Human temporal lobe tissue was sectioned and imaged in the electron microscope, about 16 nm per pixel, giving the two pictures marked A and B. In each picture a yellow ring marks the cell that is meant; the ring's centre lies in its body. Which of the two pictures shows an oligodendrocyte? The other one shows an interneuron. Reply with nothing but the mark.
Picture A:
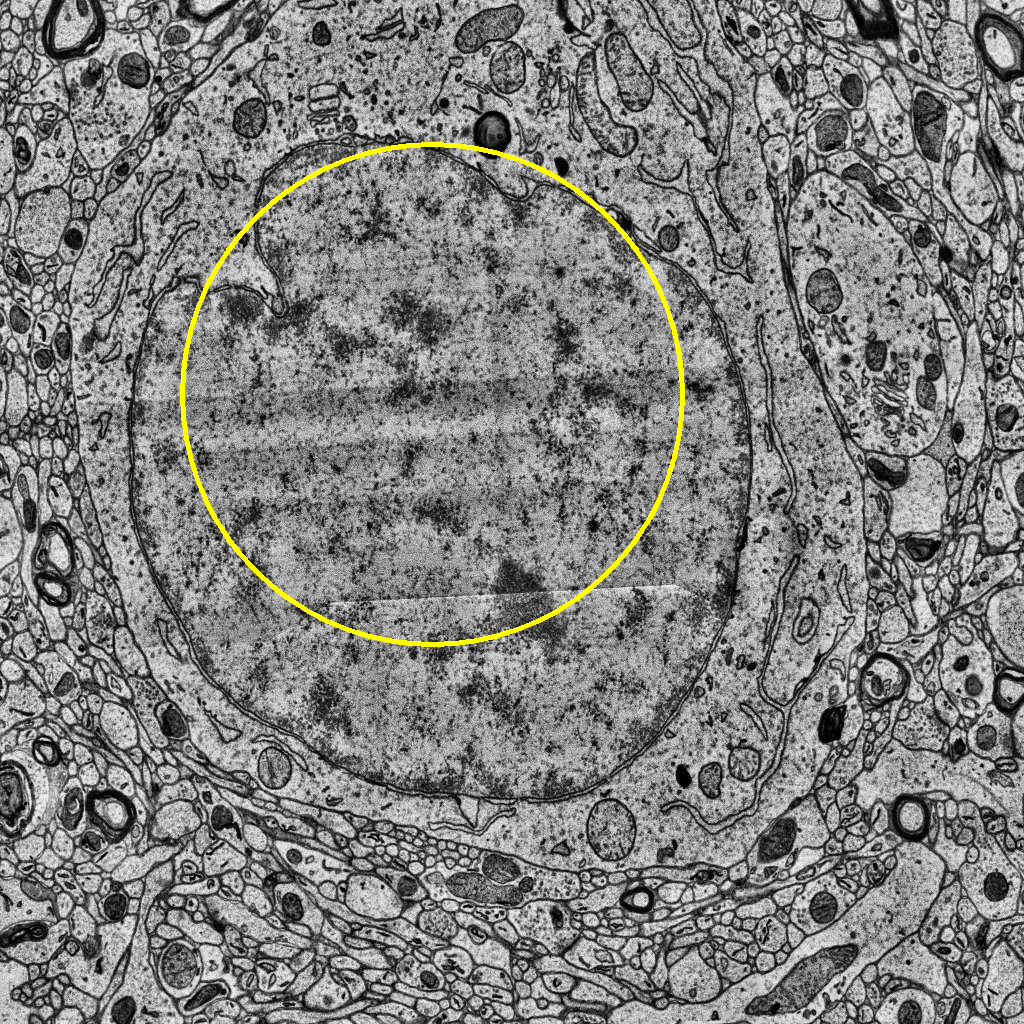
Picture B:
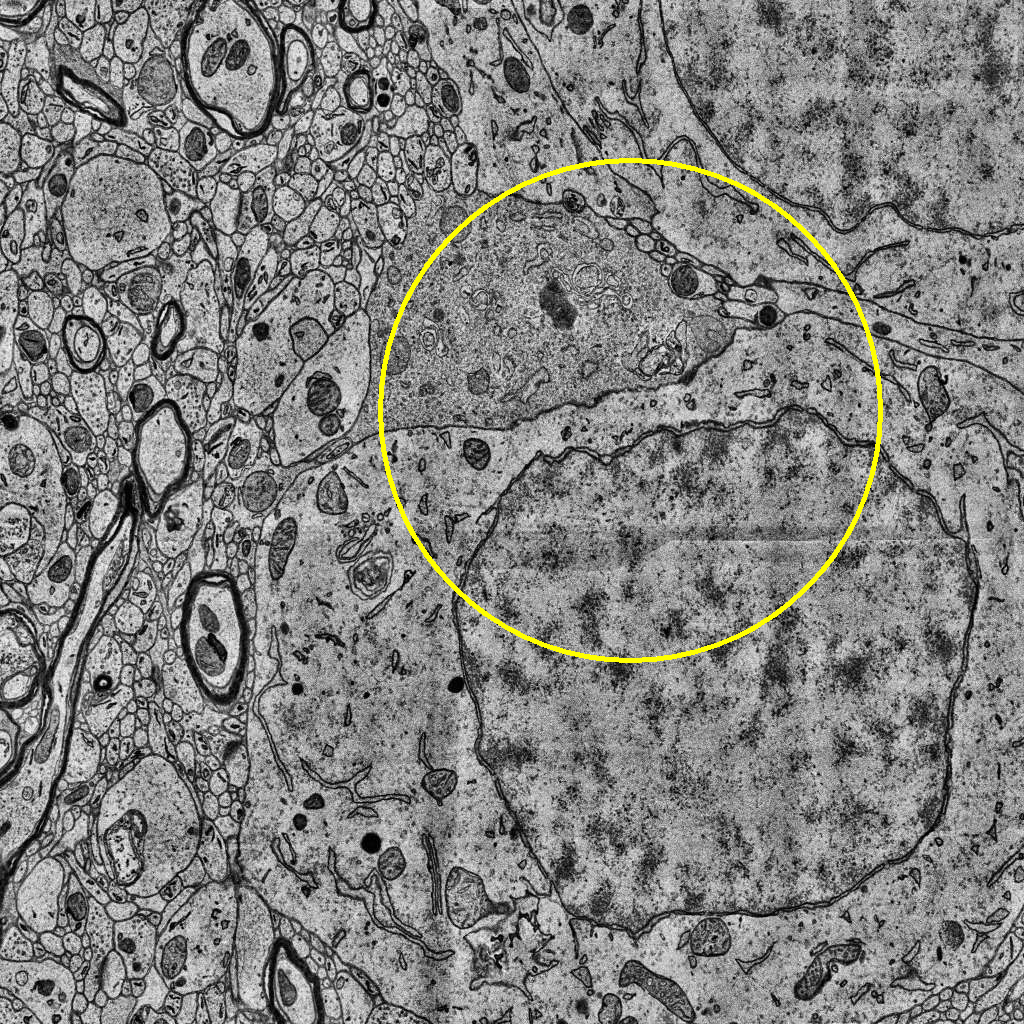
B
